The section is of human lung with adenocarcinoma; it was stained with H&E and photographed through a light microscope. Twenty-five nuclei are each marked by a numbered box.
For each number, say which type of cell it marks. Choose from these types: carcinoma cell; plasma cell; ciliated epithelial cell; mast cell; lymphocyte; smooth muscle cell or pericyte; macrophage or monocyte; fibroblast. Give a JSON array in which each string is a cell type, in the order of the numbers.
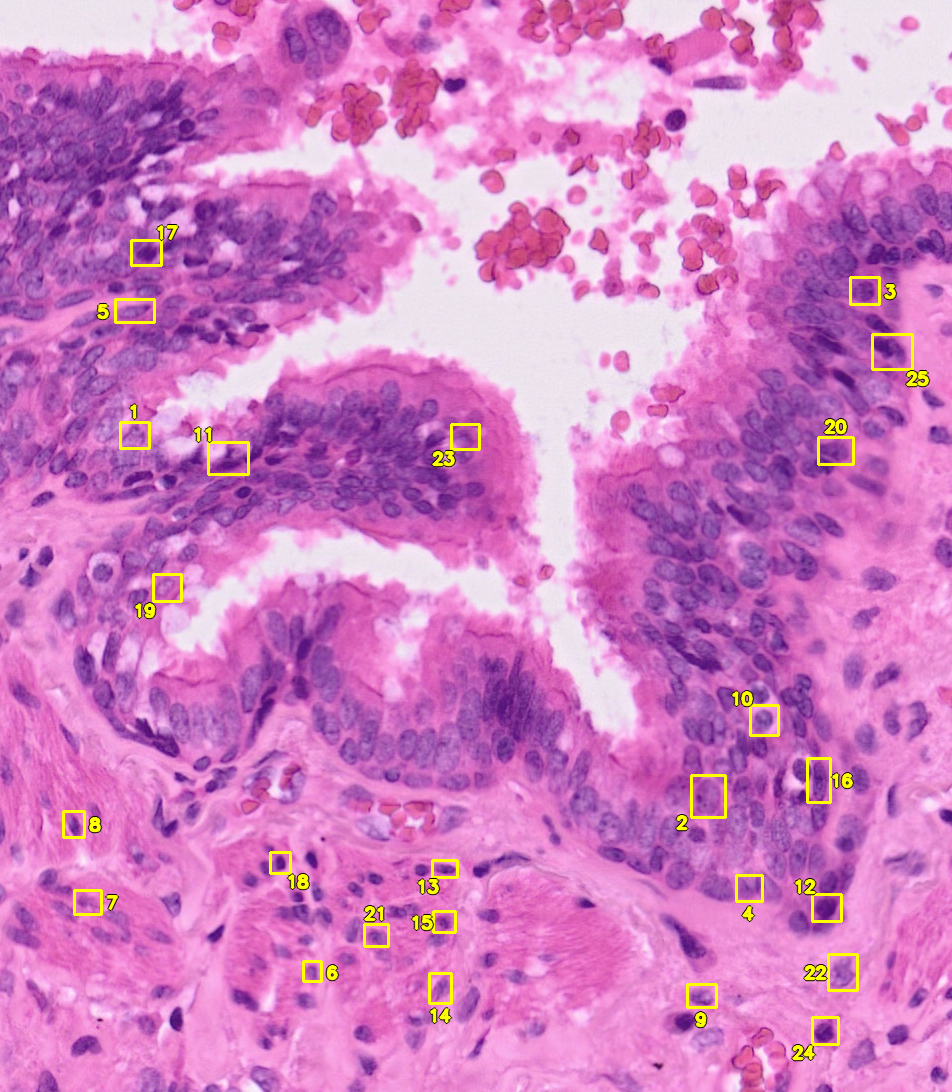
["ciliated epithelial cell", "ciliated epithelial cell", "ciliated epithelial cell", "ciliated epithelial cell", "ciliated epithelial cell", "smooth muscle cell or pericyte", "smooth muscle cell or pericyte", "smooth muscle cell or pericyte", "mast cell", "lymphocyte", "ciliated epithelial cell", "plasma cell", "smooth muscle cell or pericyte", "smooth muscle cell or pericyte", "smooth muscle cell or pericyte", "ciliated epithelial cell", "ciliated epithelial cell", "smooth muscle cell or pericyte", "ciliated epithelial cell", "ciliated epithelial cell", "smooth muscle cell or pericyte", "fibroblast", "ciliated epithelial cell", "plasma cell", "ciliated epithelial cell"]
